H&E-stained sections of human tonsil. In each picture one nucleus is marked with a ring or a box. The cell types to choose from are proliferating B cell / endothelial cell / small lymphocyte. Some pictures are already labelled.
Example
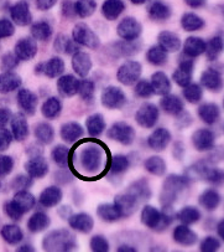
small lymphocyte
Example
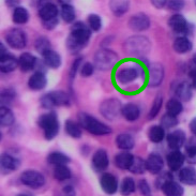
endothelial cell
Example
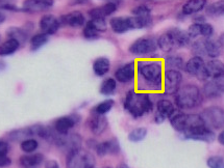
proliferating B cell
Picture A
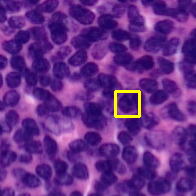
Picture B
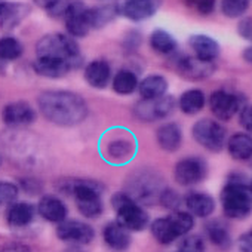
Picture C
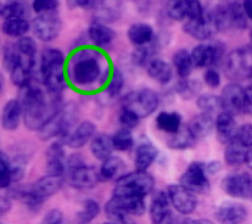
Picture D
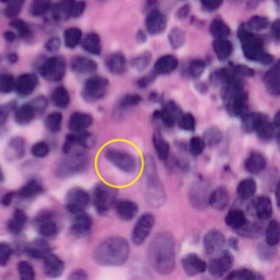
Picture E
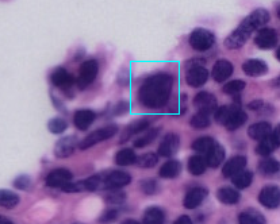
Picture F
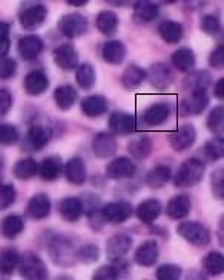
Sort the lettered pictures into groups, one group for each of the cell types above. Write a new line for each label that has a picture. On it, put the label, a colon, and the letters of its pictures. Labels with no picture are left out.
proliferating B cell: C, E
endothelial cell: B, D
small lymphocyte: A, F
